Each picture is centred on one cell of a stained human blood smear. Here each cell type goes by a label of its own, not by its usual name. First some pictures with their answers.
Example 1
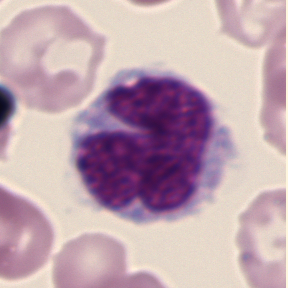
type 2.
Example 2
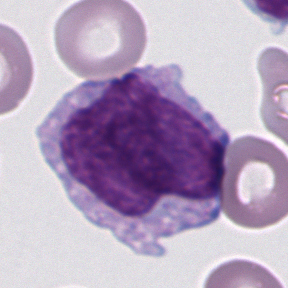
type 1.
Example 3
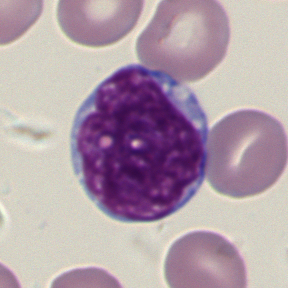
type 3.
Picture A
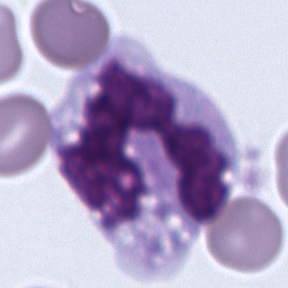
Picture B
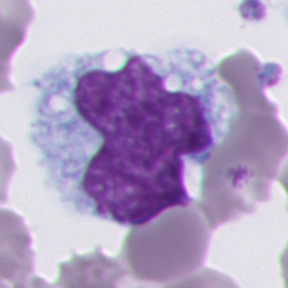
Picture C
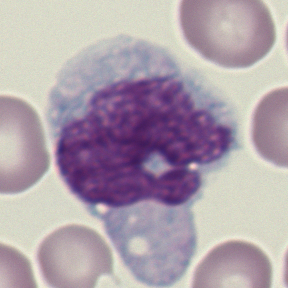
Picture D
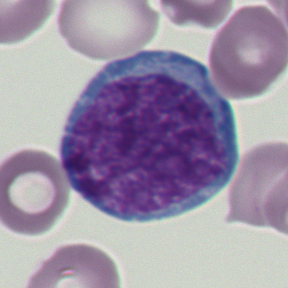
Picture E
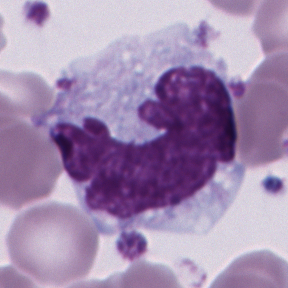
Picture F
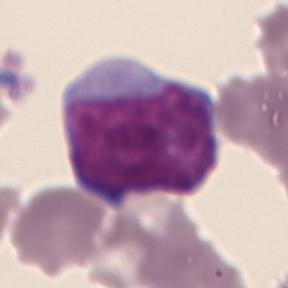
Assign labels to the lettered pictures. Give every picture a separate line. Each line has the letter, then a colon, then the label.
A: type 2.
B: type 2.
C: type 2.
D: type 3.
E: type 2.
F: type 3.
